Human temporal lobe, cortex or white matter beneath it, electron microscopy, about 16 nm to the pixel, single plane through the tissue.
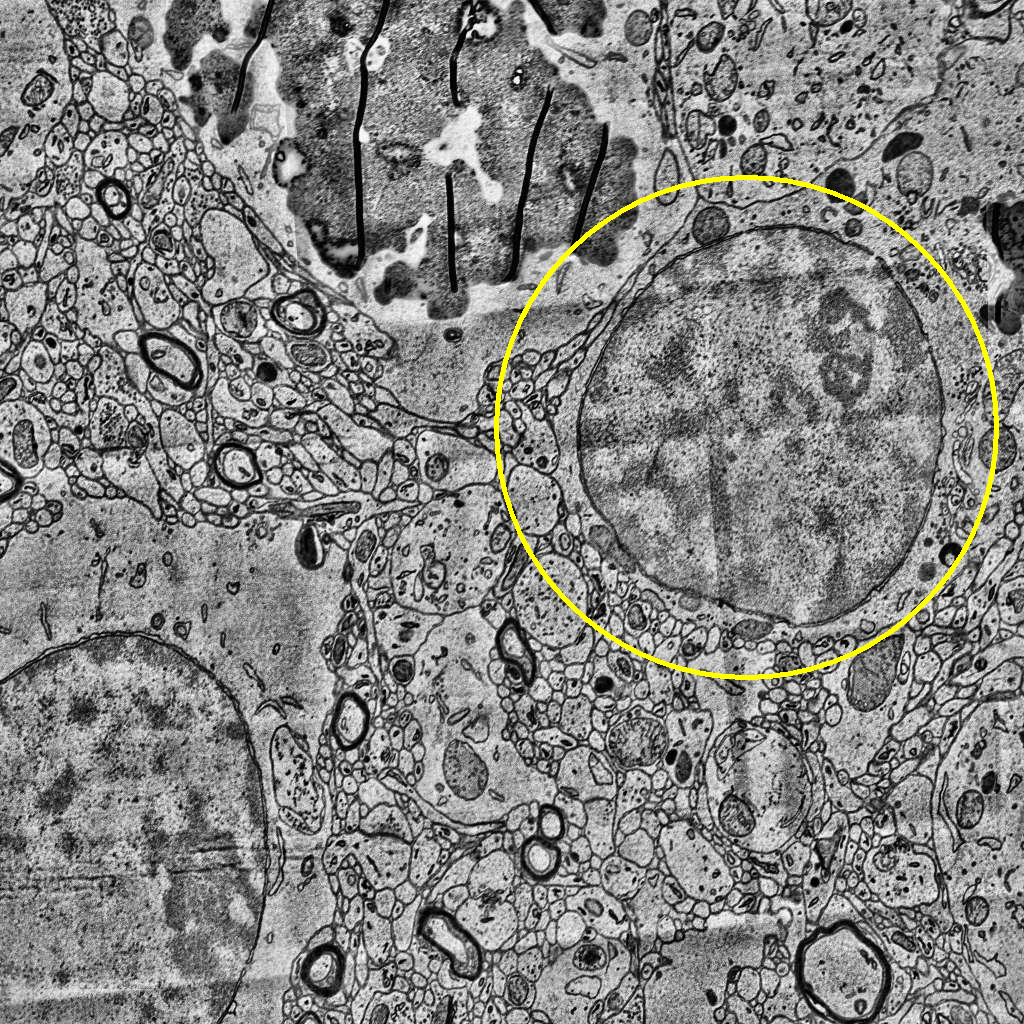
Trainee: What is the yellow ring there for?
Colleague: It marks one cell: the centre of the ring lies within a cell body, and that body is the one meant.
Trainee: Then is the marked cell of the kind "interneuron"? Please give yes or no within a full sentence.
No, the marked cell at the centre of the yellow ring is of a different kind.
